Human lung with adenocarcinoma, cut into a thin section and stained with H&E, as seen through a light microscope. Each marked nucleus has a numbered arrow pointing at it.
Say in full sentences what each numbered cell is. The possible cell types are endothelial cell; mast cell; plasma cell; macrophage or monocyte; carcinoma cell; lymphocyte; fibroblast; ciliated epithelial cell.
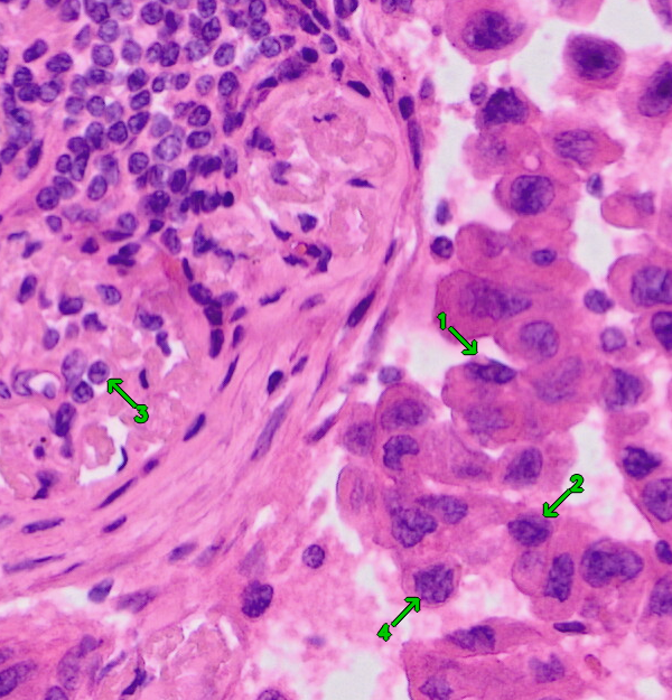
Cell 1 is a carcinoma cell, cell 2 is a carcinoma cell, cell 3 is a lymphocyte and cell 4 is a carcinoma cell.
